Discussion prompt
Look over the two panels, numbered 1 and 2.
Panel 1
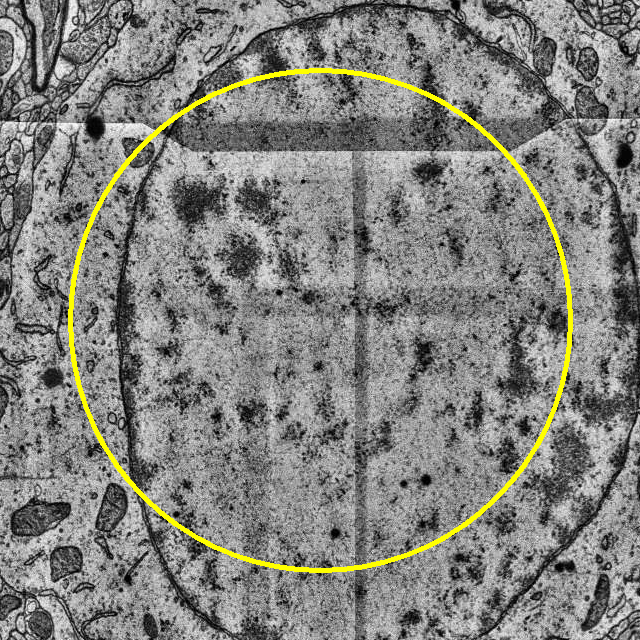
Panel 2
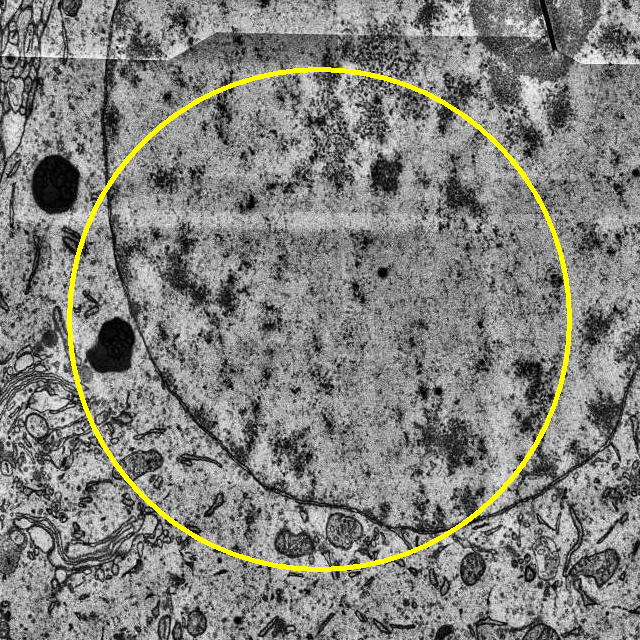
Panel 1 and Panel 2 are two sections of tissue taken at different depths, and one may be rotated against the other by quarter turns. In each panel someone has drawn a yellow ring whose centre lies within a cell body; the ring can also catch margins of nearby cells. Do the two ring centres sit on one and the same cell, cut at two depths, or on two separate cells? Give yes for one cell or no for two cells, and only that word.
no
